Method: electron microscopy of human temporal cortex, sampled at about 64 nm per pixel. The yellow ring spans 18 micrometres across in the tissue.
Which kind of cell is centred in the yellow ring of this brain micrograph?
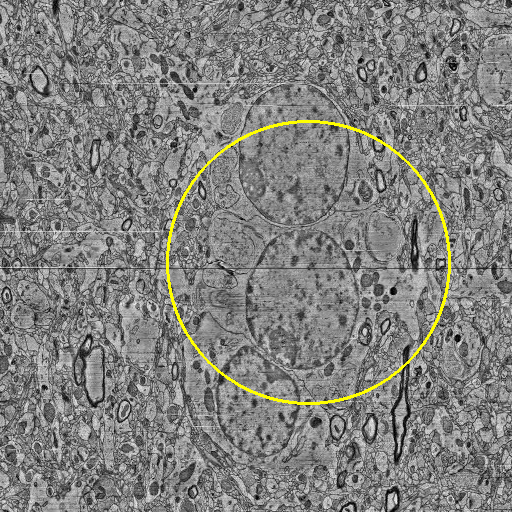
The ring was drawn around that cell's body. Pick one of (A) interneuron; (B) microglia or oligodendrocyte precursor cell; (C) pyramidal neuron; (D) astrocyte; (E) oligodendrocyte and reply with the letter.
D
